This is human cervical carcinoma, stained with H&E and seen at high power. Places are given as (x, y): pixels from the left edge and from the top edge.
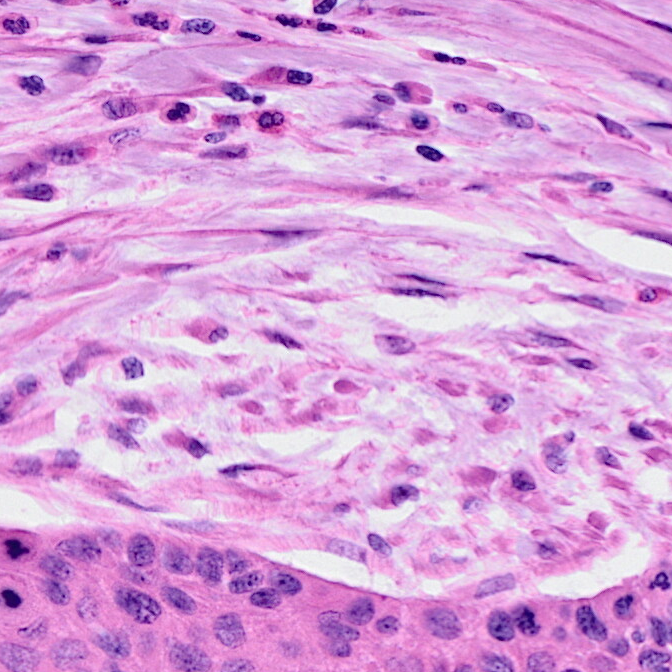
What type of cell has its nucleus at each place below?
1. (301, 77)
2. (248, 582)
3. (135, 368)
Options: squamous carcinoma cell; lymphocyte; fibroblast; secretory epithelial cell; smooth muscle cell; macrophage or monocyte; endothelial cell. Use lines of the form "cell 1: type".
cell 1: lymphocyte
cell 2: squamous carcinoma cell
cell 3: lymphocyte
